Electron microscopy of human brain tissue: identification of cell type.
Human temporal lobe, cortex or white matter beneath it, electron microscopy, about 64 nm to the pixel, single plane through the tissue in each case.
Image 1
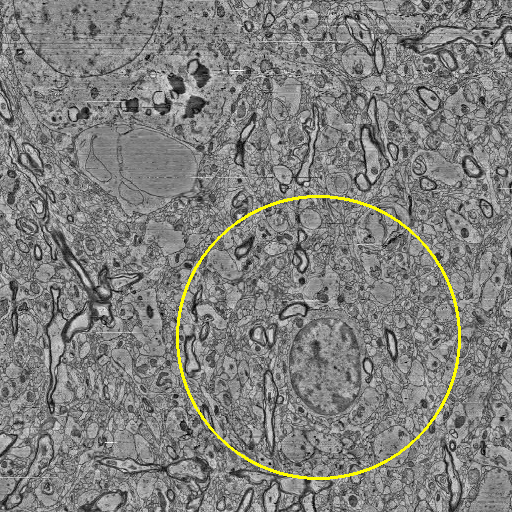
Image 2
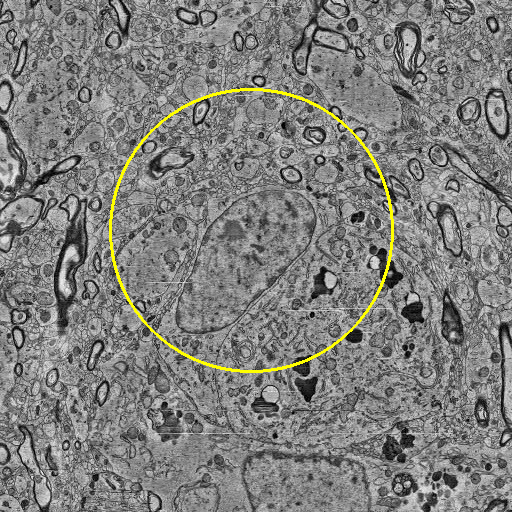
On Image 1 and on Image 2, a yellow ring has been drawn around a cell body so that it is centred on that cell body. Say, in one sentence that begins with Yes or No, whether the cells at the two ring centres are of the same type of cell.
No, the two cells are two separate types of cell.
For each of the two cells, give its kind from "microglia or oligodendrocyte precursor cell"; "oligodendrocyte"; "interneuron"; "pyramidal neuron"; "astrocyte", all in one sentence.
The first picture has an oligodendrocyte in its ring, the second has a microglial cell or oligodendrocyte precursor cell.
